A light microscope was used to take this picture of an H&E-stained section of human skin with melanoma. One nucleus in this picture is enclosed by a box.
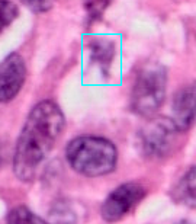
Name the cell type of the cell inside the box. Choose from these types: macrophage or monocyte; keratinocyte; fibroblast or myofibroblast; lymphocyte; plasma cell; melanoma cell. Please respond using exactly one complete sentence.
What the cell inside the box represents is a melanoma cell.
